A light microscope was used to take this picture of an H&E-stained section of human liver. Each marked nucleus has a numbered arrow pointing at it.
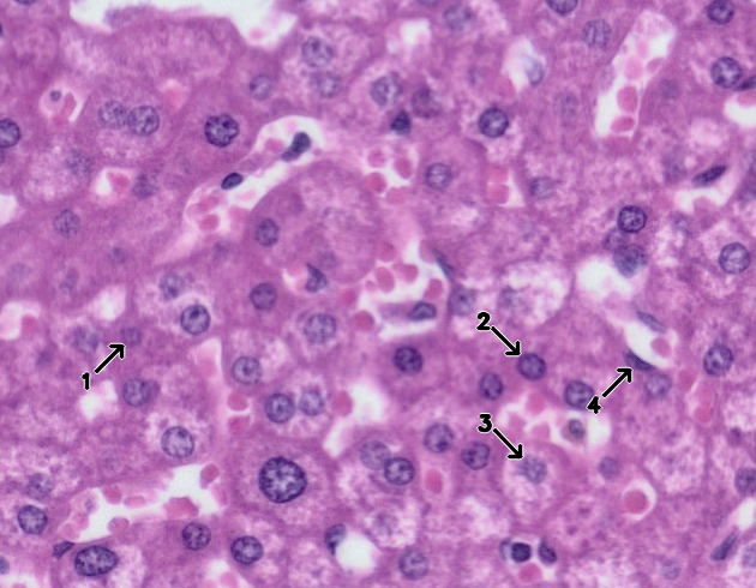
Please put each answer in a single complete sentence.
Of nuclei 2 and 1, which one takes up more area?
Number 2 is larger; its area is about 2.5 times that of number 1.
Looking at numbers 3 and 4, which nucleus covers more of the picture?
It is nucleus 3, which covers about 1.5 times the area of nucleus 4.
